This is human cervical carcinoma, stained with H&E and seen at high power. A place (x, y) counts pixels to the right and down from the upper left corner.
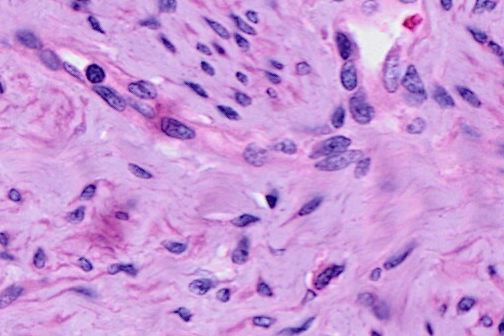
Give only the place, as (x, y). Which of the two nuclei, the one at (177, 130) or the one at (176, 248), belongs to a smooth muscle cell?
(176, 248)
